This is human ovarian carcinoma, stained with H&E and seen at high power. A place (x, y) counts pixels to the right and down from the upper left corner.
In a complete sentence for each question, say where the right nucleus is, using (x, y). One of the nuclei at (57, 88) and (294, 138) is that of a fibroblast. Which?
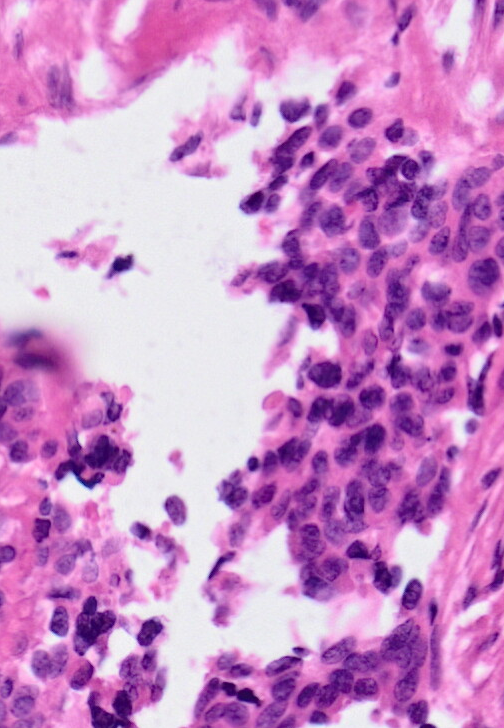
The nucleus that belongs to a fibroblast is located at (57, 88).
